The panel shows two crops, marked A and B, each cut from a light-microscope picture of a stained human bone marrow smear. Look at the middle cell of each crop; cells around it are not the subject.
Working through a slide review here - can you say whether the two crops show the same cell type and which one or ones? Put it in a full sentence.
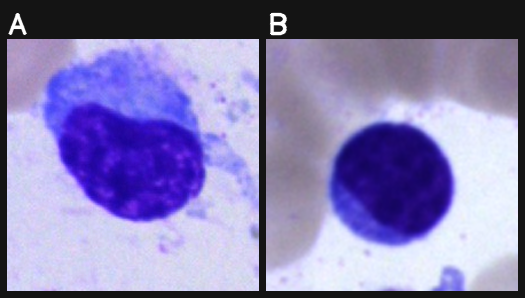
No, shown in crop A is a plasma cell, and shown in crop B is a lymphocyte.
